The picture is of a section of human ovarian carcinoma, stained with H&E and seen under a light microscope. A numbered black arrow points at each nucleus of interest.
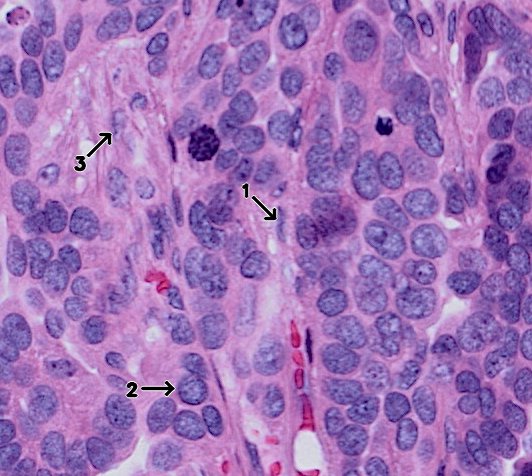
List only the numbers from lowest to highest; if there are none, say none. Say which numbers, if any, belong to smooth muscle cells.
none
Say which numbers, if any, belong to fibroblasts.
1, 3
